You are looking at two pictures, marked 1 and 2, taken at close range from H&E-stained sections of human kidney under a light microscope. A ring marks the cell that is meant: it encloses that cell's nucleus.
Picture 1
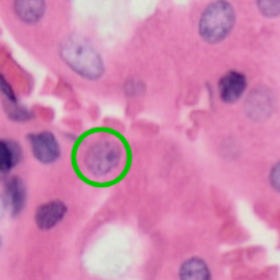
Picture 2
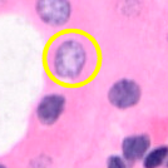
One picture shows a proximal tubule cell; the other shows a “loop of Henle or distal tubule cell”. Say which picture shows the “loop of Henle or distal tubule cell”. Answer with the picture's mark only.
2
